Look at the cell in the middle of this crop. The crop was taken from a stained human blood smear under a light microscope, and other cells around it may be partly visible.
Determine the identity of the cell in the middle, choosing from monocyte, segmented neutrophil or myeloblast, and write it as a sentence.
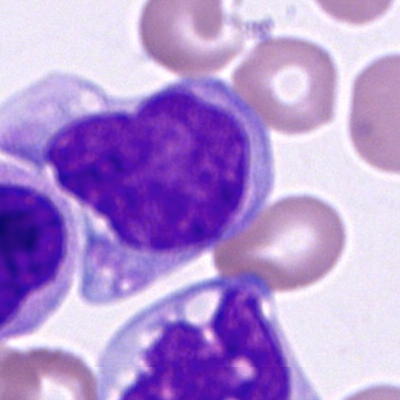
The cell nearest the centre of this crop is a monocyte.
